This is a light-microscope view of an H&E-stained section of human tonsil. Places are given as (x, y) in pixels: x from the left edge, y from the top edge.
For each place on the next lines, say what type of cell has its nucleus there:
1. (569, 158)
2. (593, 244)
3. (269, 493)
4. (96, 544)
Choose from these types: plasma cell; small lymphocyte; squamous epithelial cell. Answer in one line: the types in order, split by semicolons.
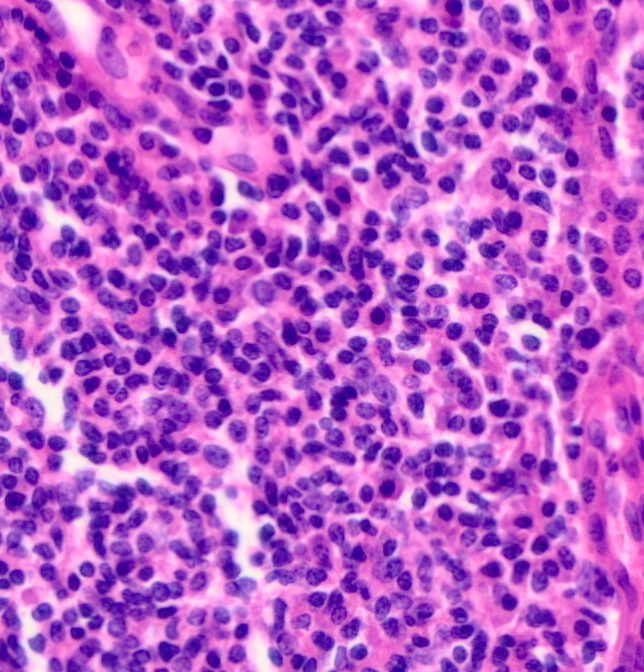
plasma cell; plasma cell; small lymphocyte; small lymphocyte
